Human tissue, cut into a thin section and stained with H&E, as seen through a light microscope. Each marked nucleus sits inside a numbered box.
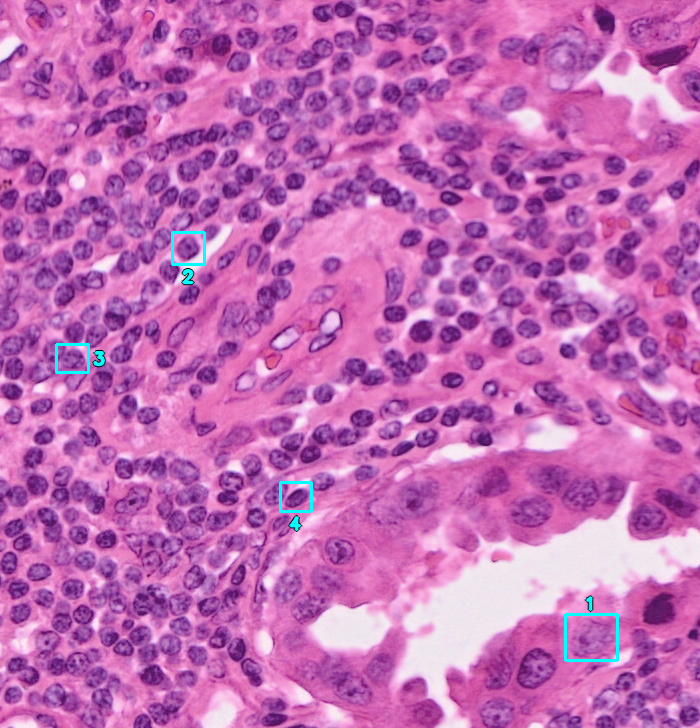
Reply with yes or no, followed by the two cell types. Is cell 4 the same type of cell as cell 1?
No, mate, cell 4 is a lymphocyte and cell 1 is a carcinoma cell.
